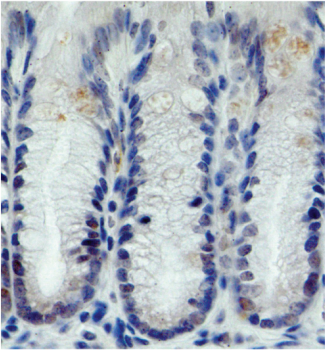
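Colonic mucosa with several crypts cut lengthwise, lined by a single layer of columnar epithelium rich in goblet cells. The goblet cells hold large pale vacuoles, while the epithelial nuclei are elongated, blue and lie at the base of the cells. Some nuclei toward the crypt bases carry a faint brown tinge, and a few brown granules lie in vacuoles higher up. Narrow strips of lamina propria with slender spindle-shaped nuclei separate the crypts.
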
